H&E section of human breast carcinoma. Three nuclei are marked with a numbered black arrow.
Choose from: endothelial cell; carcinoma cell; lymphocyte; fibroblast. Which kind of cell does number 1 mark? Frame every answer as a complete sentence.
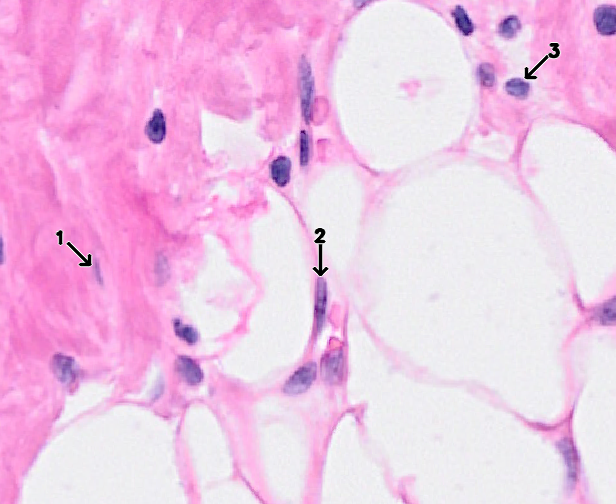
Looking at the numbered marks, cell 1 is a fibroblast.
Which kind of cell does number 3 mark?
The cell whose nucleus carries the number 3 is a lymphocyte.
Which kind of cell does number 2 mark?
The one numbered 2 among the marked cells is an endothelial cell.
